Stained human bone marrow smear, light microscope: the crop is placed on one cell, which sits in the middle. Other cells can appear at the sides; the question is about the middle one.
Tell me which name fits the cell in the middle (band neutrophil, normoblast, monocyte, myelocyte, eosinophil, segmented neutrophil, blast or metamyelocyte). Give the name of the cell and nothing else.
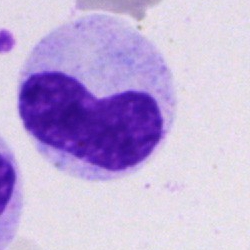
metamyelocyte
